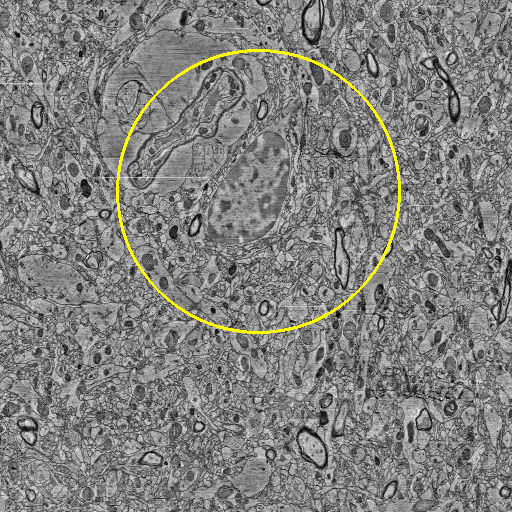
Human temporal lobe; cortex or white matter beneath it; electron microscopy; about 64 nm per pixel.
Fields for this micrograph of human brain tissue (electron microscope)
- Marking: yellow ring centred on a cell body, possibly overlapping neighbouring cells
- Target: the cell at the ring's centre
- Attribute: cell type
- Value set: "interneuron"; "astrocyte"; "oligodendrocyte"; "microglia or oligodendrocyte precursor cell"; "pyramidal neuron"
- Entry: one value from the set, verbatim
microglia or oligodendrocyte precursor cell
